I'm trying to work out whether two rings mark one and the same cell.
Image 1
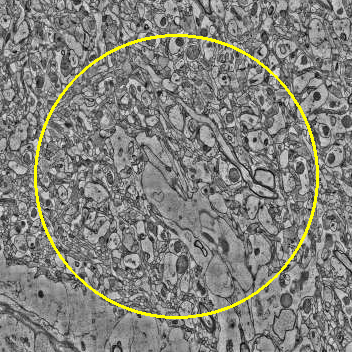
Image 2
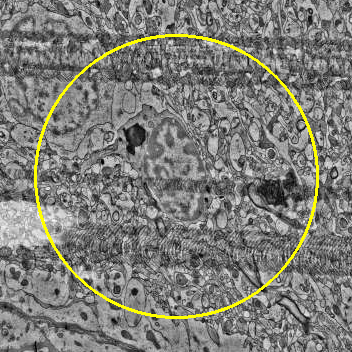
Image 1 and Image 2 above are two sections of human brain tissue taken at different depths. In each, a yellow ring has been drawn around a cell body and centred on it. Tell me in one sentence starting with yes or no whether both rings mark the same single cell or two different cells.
Yes, the two rings refer to one cell in the tissue.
